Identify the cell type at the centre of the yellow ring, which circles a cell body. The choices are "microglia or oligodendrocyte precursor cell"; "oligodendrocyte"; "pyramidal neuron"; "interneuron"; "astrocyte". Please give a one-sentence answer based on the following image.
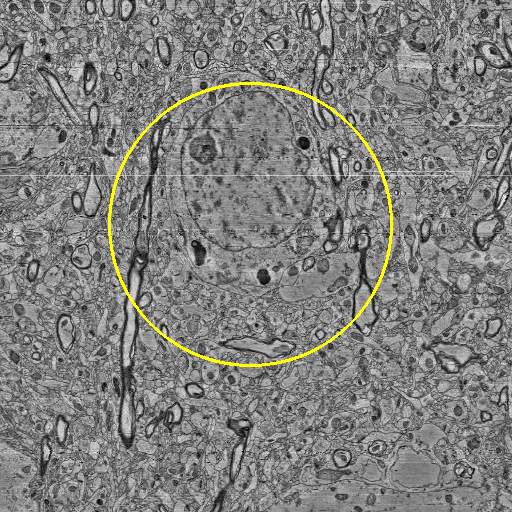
The cell marked by the ring is a pyramidal neuron.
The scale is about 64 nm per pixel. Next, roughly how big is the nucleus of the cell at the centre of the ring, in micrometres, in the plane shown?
In this plane, the nucleus of the cell at the centre of the ring measures about 11 by 9 micrometres.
